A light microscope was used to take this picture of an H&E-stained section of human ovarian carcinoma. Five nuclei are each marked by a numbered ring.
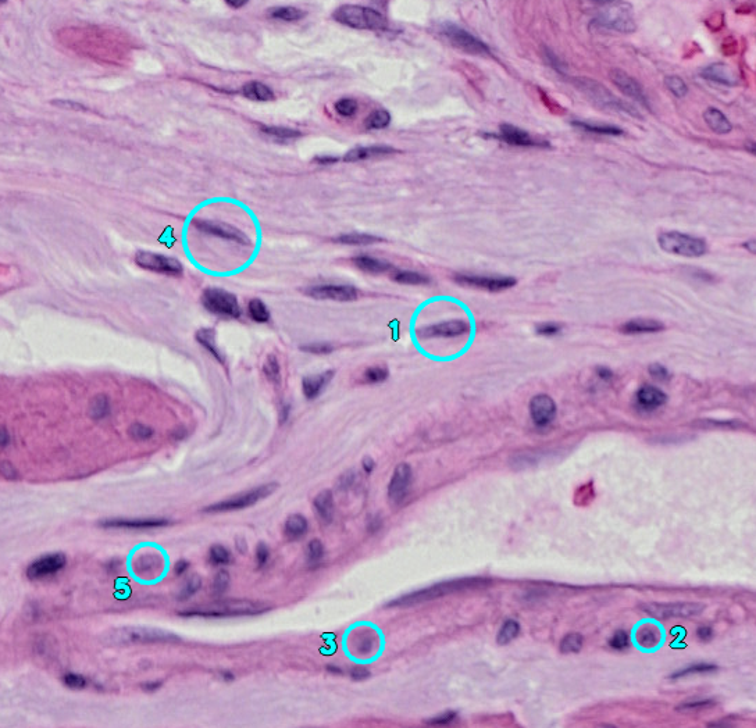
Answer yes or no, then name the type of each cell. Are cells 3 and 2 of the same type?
Yes, in this section cells 3 and 2 are both smooth muscle cells.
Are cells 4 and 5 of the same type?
No, the right answer is a fibroblast for cell 4 and a smooth muscle cell for cell 5.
